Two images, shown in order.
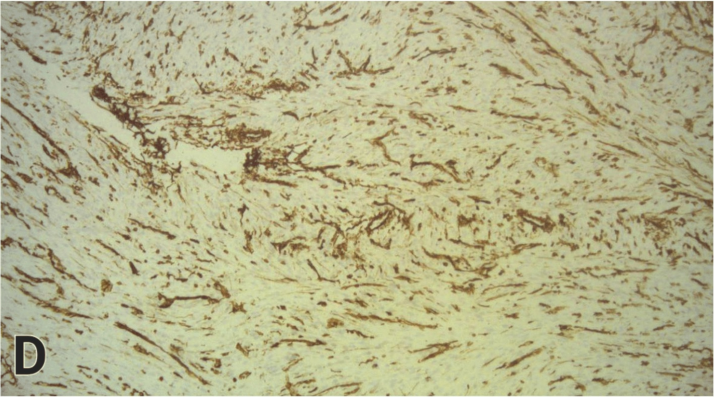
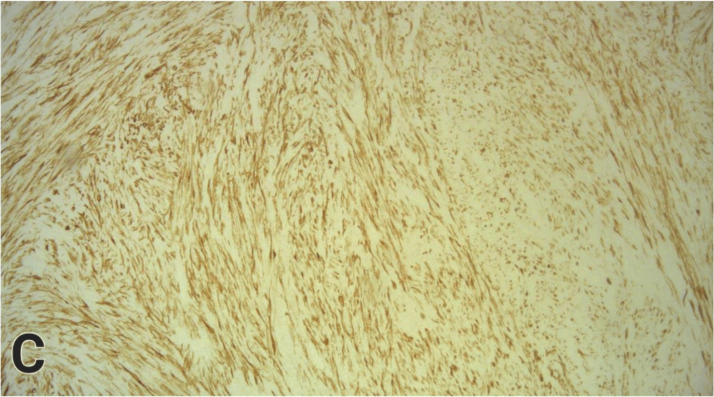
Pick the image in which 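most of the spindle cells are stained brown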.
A: The second image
